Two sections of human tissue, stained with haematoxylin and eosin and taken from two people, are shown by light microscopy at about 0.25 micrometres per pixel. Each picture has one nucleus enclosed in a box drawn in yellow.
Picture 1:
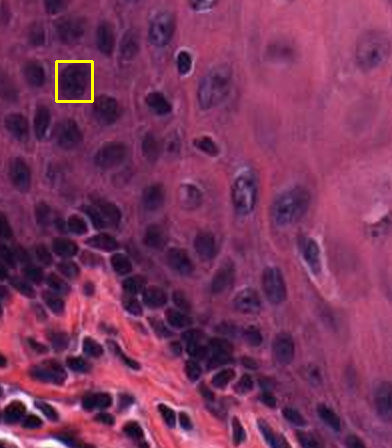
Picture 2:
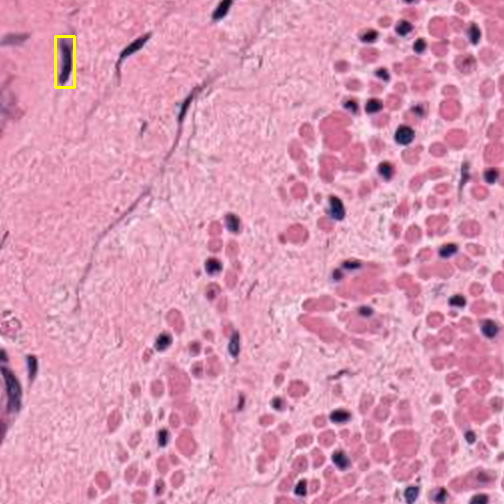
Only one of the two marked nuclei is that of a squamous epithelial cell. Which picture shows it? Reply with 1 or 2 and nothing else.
1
